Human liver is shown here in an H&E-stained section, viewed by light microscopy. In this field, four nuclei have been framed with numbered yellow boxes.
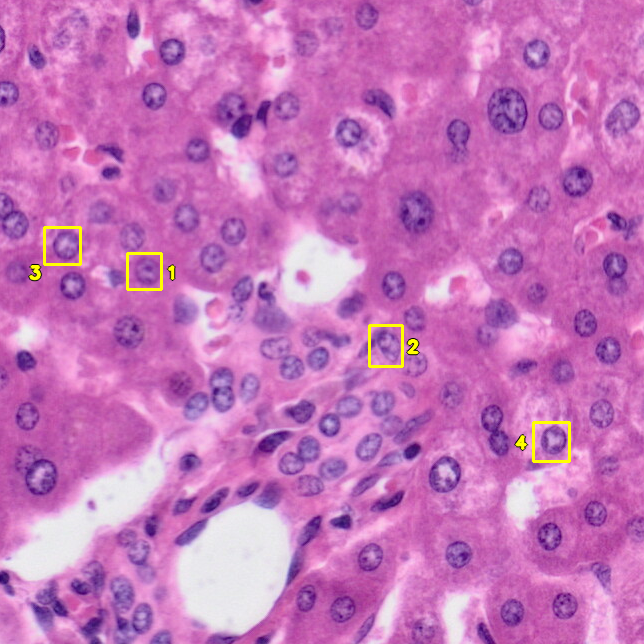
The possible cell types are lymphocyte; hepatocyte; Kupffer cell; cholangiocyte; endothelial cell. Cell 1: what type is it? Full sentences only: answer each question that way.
Nucleus 1 in this section belongs to a hepatocyte.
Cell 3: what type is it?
The one labeled 3 is a hepatocyte, to put it simply.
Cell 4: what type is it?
The cell whose nucleus carries the number 4 is a hepatocyte.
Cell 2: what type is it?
Number 2 among the marked cells is a cholangiocyte.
